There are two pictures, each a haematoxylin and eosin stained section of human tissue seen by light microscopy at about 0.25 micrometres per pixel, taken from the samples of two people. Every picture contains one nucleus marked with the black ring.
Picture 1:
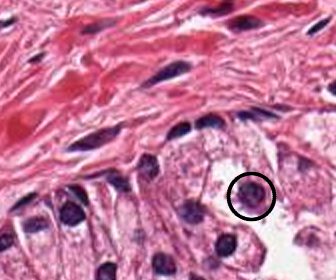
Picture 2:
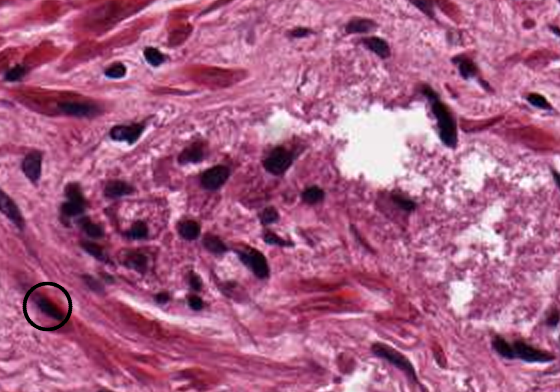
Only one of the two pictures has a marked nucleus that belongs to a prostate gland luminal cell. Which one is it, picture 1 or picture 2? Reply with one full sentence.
Belonging to a prostate gland luminal cell is the marked nucleus of picture 1.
